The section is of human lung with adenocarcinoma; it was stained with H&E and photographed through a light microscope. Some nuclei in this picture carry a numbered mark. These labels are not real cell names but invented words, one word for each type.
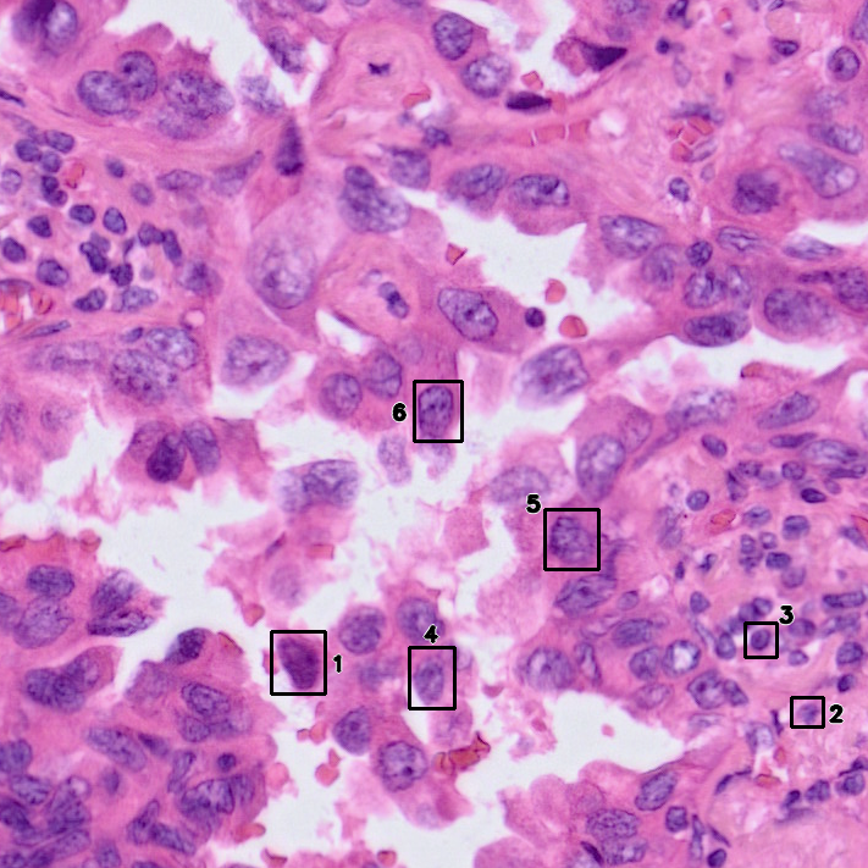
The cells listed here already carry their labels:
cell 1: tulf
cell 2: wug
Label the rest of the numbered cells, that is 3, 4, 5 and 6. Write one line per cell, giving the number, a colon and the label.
3: wug
4: tulf
5: tulf
6: tulf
